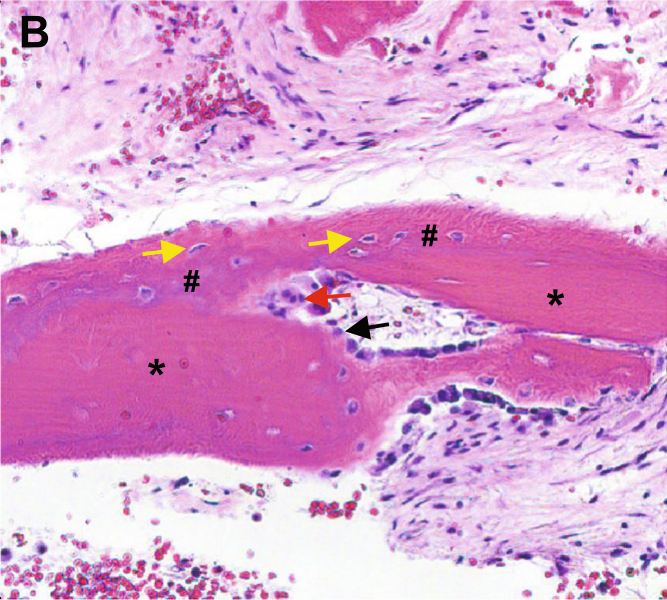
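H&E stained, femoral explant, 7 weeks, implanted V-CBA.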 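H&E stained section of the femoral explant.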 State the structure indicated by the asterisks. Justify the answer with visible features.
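Bone chips. The asterisks lie on dense, uniformly deep pink matrix. This matrix has few cells compared with the hashed layer.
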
